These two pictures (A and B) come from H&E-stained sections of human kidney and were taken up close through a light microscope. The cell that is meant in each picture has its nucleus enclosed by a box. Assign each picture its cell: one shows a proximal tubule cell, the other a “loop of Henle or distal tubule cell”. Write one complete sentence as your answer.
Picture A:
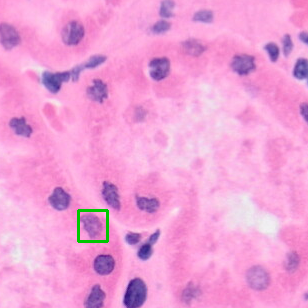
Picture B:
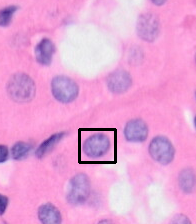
It is picture A that shows a proximal tubule cell, and picture B that shows a “loop of Henle or distal tubule cell”.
